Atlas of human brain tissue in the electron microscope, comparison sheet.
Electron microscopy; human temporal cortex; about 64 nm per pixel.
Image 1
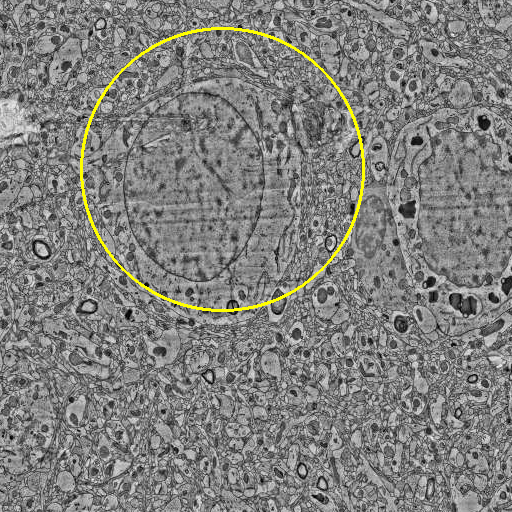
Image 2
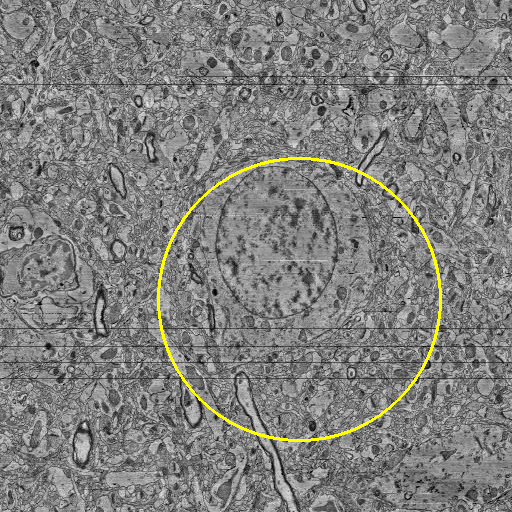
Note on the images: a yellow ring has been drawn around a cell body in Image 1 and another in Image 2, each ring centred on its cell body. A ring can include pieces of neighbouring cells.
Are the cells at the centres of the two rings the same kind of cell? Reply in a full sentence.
Yes, both cells are of the same kind.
